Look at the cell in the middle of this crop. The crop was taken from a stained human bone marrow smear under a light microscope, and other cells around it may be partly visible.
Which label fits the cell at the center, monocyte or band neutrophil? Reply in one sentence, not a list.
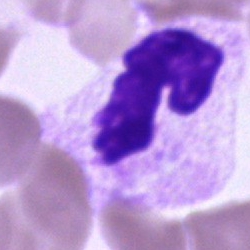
The central cell, amid any neighbouring cells, is a band neutrophil.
